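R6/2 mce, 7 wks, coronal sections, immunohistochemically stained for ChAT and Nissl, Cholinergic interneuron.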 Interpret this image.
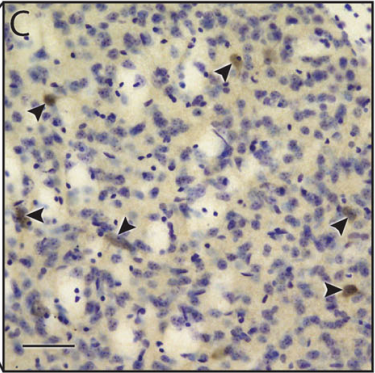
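This is striatal grey matter in which a few large neurons stand out by dark brown staining among a dense population of smaller cells whose nuclei are stained blue. The blue nuclei are small, round to oval and closely packed throughout the field. The brown-stained neuronal cell bodies are sparse and scattered singly, without clustering, against a light tan background. Pale, rounded, unstained holes are dispersed through the tissue, consistent with bundles of fibres passing through the striatum in cross section.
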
